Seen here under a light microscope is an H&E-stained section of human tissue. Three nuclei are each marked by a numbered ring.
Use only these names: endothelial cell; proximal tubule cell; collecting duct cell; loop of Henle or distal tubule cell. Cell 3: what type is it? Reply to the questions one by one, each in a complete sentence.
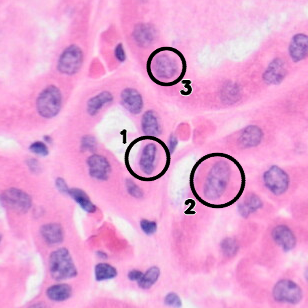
Regarding cell 3, this one is a proximal tubule cell.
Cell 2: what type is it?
Regarding cell 2, this one is a proximal tubule cell.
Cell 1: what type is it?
Marked with the number 1, this cell is a collecting duct cell.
